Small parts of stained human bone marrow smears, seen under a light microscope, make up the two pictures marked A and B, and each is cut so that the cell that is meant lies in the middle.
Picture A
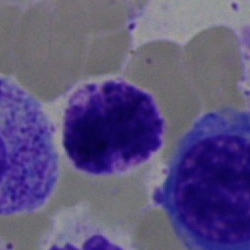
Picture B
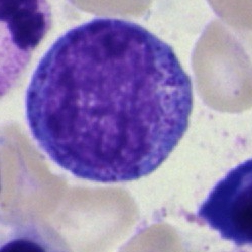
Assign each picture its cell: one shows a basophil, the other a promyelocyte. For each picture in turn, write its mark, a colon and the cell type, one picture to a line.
A: basophil
B: promyelocyte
